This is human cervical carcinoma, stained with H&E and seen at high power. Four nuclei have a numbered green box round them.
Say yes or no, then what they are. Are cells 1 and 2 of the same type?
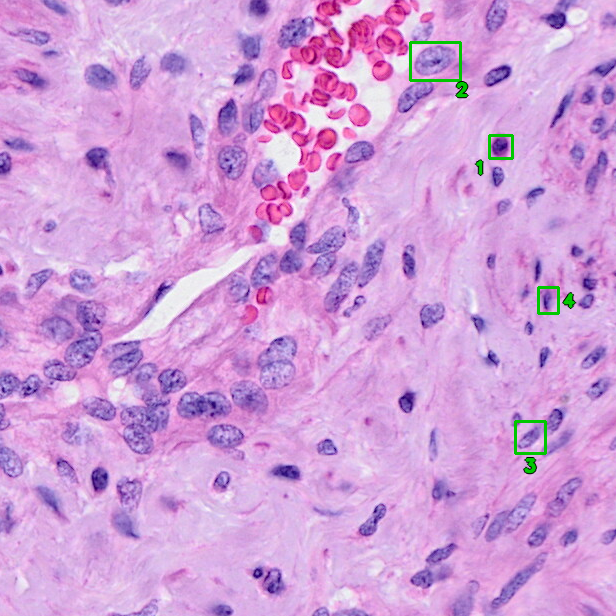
No, what is marked as cell 1 is a smooth muscle cell, and what is marked as cell 2 is an endothelial cell.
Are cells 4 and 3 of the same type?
Yes, of the numbered cells, 4 and 3 are both smooth muscle cells.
